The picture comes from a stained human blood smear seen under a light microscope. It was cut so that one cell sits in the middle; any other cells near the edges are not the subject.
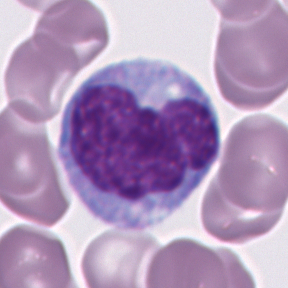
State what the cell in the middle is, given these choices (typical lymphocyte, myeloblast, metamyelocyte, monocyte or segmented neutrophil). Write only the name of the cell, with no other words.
monocyte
